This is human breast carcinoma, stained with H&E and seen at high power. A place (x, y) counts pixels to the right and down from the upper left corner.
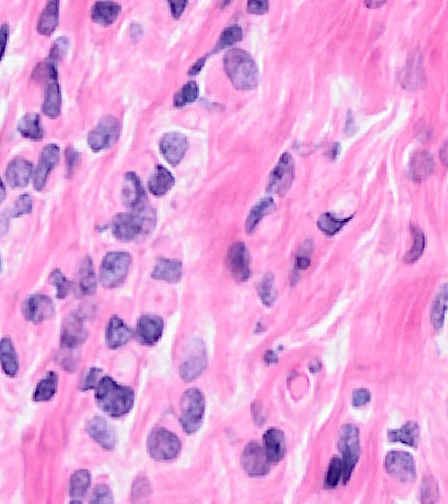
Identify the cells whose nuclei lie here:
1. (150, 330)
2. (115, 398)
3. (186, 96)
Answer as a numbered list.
1. carcinoma cell
2. carcinoma cell
3. lymphocyte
